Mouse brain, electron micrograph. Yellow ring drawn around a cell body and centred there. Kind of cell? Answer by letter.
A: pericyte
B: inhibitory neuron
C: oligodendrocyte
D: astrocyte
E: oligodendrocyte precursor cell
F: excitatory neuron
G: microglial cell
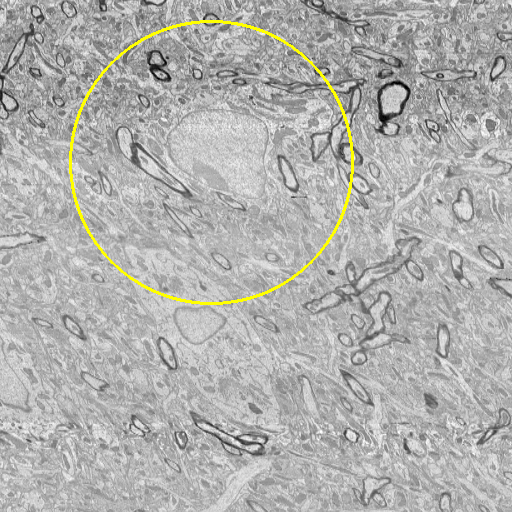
D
